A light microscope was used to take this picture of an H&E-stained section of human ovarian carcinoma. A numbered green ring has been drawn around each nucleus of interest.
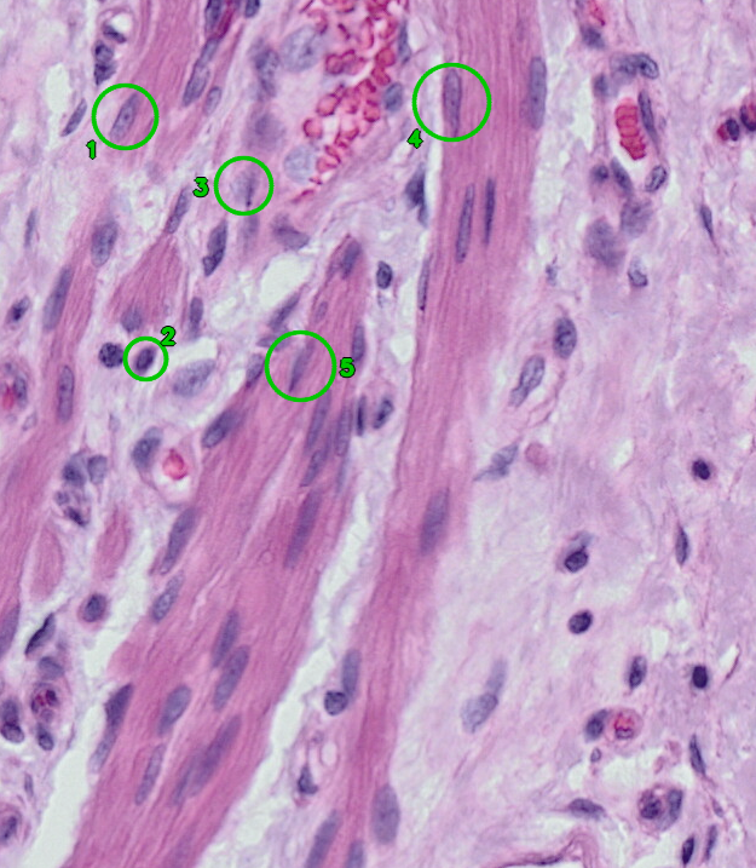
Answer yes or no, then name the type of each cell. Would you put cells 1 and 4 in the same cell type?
Yes, both are smooth muscle cells.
